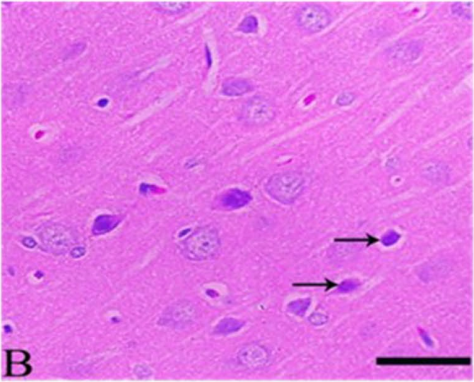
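Cerebral cortex with scattered neurons in pink fibrillar neuropil, some with round pale nuclei and distinct nucleoli. Several small cell bodies are shrunken, angular and darkly purple, lying in clear spaces within the neuropil.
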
